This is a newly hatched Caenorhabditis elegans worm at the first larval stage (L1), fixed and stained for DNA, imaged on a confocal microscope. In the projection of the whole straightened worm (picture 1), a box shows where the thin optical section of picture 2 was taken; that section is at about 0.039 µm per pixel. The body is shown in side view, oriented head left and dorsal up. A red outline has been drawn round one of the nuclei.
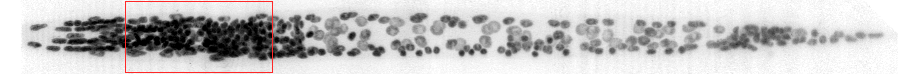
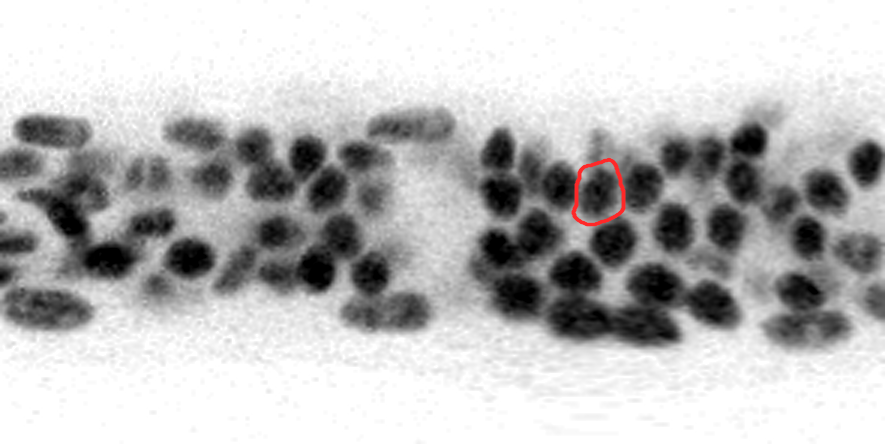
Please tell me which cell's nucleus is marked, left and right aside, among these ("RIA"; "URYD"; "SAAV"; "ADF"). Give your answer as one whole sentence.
It is the nucleus of ADF, a neuron.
